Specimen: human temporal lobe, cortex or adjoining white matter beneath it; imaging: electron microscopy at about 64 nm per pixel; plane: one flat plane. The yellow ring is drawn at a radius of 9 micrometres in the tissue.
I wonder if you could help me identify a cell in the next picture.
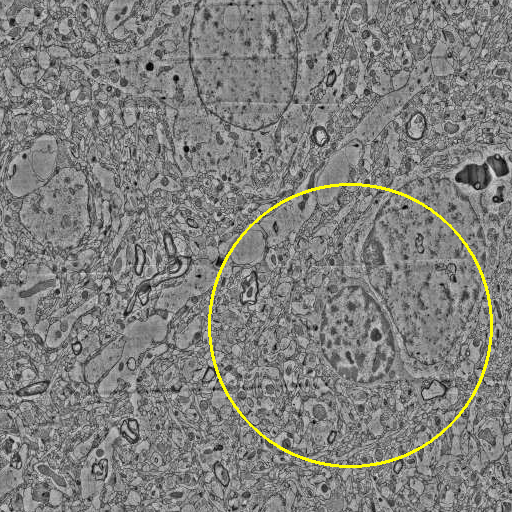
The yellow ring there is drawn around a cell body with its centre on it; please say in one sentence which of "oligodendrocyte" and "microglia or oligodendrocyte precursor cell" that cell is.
The yellow ring is centred on an oligodendrocyte.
